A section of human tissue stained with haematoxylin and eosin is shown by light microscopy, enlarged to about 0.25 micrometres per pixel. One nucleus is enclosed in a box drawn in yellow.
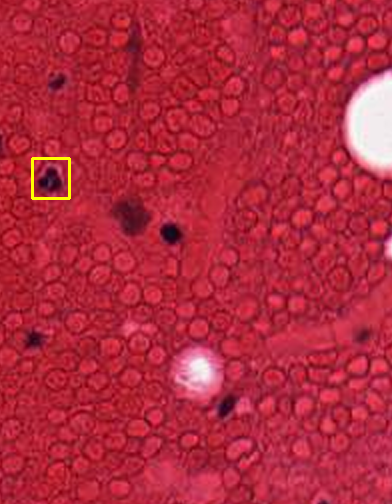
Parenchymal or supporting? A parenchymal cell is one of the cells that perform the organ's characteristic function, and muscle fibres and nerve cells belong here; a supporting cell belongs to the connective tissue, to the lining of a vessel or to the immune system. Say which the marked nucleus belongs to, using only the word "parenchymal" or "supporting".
supporting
